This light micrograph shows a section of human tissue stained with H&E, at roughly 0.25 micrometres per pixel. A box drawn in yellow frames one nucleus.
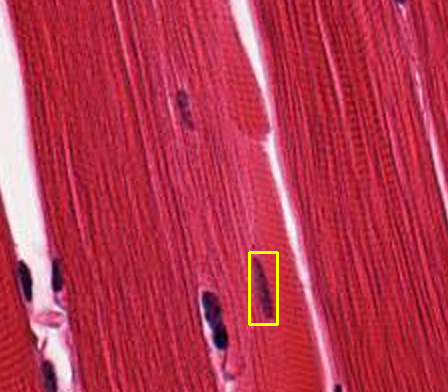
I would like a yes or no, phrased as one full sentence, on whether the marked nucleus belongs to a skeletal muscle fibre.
Yes, it is a skeletal muscle fibre to which the marked nucleus belongs.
